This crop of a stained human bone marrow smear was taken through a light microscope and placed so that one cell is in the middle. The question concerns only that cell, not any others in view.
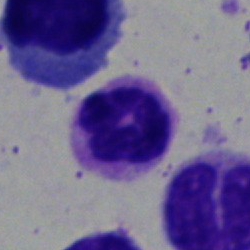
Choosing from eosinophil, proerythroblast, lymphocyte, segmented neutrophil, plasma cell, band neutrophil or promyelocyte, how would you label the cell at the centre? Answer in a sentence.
The middle position in this crop is taken by a segmented neutrophil.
